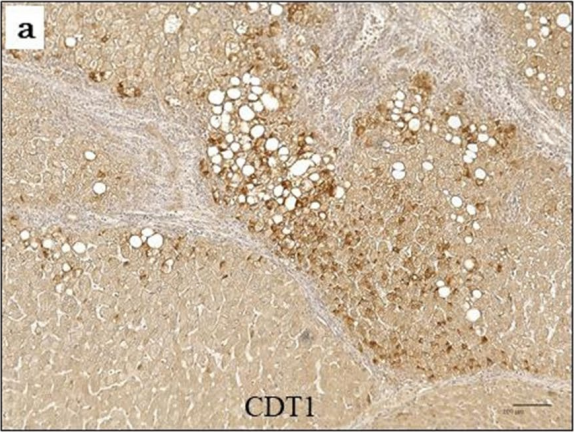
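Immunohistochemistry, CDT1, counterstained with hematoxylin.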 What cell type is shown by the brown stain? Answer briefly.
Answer: Hepatocytes.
